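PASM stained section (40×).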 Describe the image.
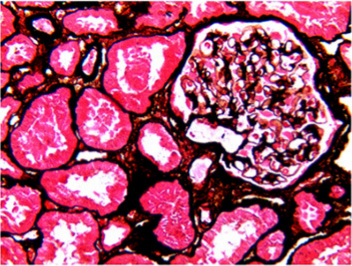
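This is renal cortex showing a glomerulus surrounded by cross-sectioned tubules. The glomerulus is round, enclosed by a dark Bowman's capsule, and its tuft shows many open capillary loops outlined by thin black basement membranes. The tubules around it have bright pink-red epithelial cytoplasm lining open lumina, each surrounded by a dark basement membrane. The tubules lie close together with little tissue between them. The tuft fills most of the capsule without obvious solid dark scarring.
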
